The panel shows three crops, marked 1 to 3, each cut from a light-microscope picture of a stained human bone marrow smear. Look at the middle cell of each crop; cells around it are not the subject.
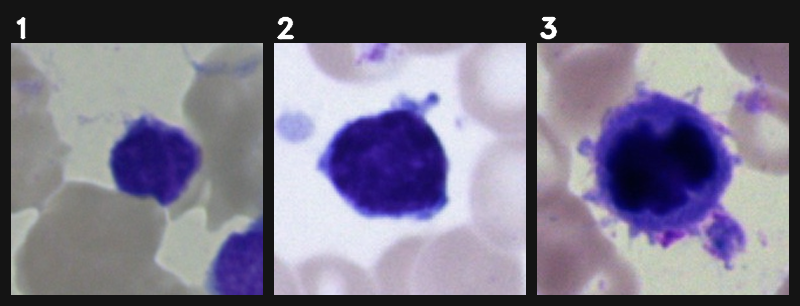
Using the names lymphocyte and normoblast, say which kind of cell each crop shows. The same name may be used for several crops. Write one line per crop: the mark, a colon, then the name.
1: lymphocyte
2: lymphocyte
3: normoblast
